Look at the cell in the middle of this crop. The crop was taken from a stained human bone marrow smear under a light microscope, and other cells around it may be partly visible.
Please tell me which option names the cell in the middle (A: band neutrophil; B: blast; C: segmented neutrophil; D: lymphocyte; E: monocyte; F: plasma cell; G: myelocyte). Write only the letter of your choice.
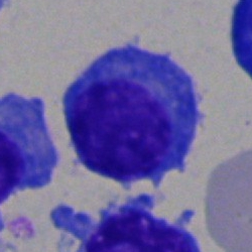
F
